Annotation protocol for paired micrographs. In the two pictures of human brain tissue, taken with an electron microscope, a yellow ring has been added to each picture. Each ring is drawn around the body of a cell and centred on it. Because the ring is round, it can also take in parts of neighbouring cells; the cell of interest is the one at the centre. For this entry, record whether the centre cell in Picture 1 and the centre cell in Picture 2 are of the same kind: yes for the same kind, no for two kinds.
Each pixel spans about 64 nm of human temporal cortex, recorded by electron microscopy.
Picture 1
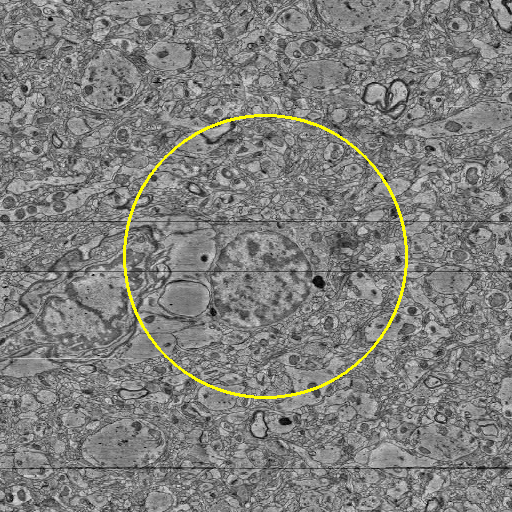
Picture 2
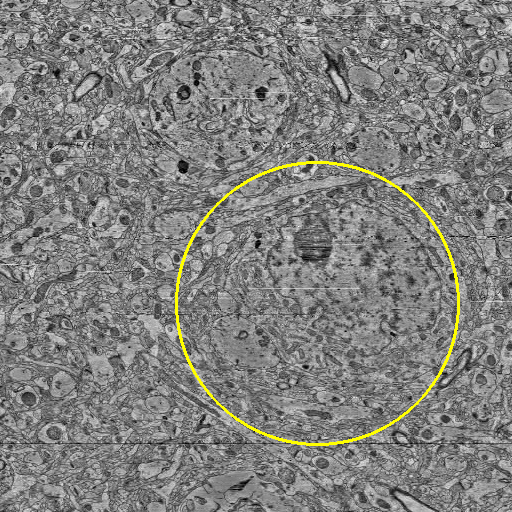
no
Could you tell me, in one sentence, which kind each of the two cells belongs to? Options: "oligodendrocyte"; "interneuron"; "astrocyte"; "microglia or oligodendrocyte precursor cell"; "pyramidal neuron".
At the centre of the first ring sits an oligodendrocyte, and at the centre of the second sits an interneuron.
